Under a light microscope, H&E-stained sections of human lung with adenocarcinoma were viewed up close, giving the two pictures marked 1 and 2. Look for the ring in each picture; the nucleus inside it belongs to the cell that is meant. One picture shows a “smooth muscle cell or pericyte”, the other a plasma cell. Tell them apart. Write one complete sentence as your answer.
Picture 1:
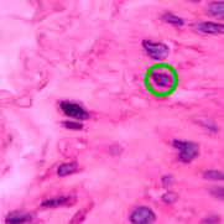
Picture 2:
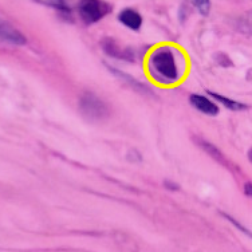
The cell in picture 1 is a “smooth muscle cell or pericyte”, and the one in picture 2 is a plasma cell.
